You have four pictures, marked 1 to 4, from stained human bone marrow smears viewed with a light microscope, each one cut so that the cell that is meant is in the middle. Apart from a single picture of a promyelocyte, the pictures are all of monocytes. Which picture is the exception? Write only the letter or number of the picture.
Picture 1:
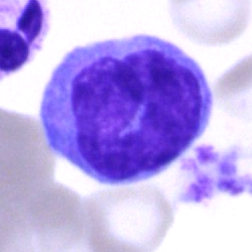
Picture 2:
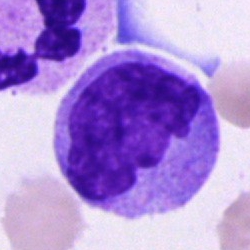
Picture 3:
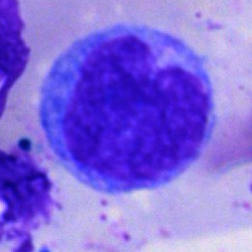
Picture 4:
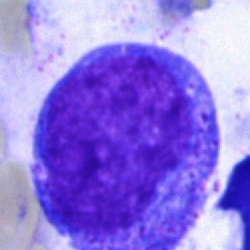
4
